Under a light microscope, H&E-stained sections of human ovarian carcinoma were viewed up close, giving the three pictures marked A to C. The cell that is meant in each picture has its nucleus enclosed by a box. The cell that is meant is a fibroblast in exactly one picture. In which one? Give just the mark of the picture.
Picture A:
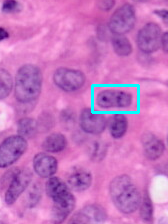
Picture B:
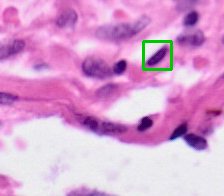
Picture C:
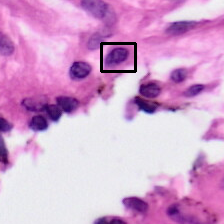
B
